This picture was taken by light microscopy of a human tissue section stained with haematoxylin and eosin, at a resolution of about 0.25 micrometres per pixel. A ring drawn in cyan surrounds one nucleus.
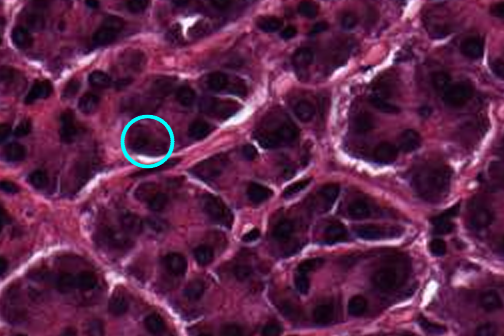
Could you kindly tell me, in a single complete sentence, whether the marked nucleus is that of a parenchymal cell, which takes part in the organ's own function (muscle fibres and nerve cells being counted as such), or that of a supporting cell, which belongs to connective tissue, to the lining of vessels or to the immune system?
The nucleus marked here belongs to a parenchymal cell, namely a pancreatic acinar cell.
